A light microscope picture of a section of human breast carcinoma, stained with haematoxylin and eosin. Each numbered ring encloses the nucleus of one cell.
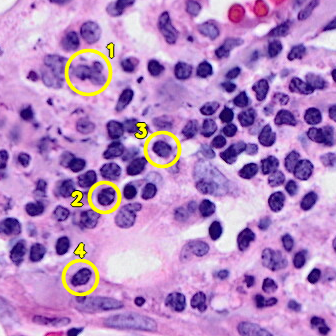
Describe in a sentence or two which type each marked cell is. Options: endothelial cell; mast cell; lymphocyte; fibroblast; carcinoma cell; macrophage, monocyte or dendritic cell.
Cell 1 is a macrophage, monocyte or dendritic cell, cell 2 is a lymphocyte, cell 3 is a lymphocyte and cell 4 is a lymphocyte.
